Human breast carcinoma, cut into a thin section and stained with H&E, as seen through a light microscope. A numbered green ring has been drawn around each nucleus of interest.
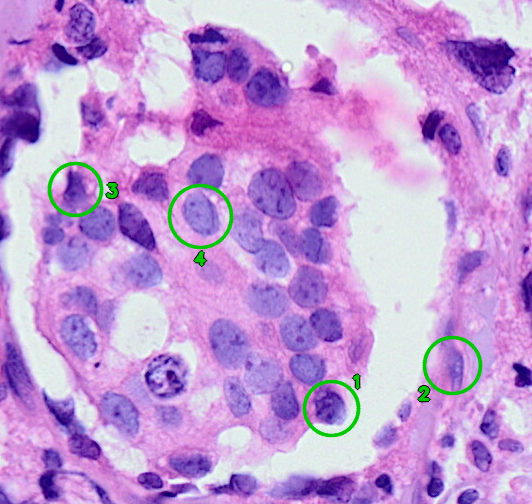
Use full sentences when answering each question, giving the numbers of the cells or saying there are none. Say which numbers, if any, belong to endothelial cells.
Only the cell numbered 2 is an endothelial cell; none of the others is.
